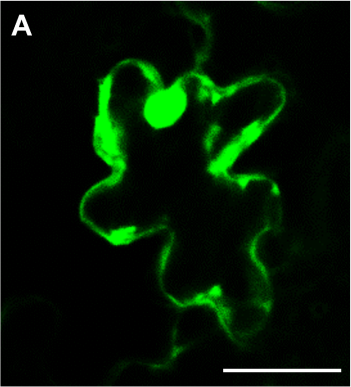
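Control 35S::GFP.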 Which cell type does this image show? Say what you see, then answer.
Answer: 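A single cell with a wavy, lobed jigsaw-puzzle outline. A bright round body lies in the cytoplasm at the cell edge. On this evidence: pavement cells.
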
